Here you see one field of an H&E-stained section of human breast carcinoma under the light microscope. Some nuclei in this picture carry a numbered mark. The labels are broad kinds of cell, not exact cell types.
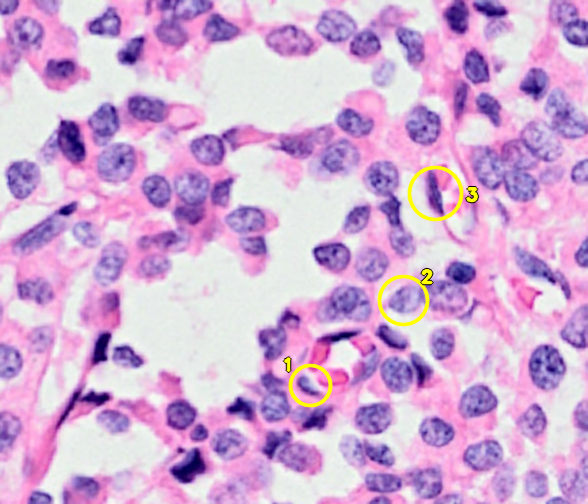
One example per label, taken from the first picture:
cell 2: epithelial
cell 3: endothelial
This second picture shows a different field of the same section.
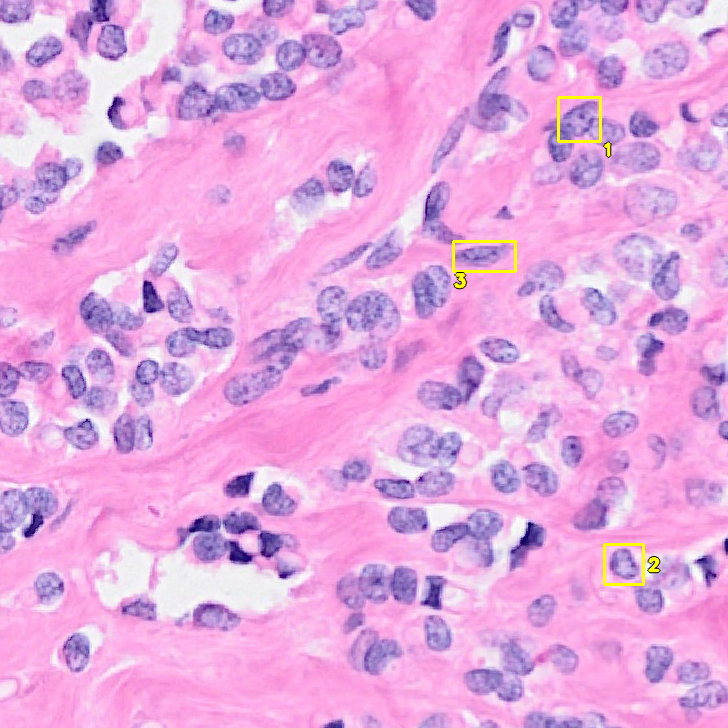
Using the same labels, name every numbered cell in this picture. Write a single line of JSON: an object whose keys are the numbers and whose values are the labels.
{"1": "epithelial", "2": "epithelial", "3": "endothelial"}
